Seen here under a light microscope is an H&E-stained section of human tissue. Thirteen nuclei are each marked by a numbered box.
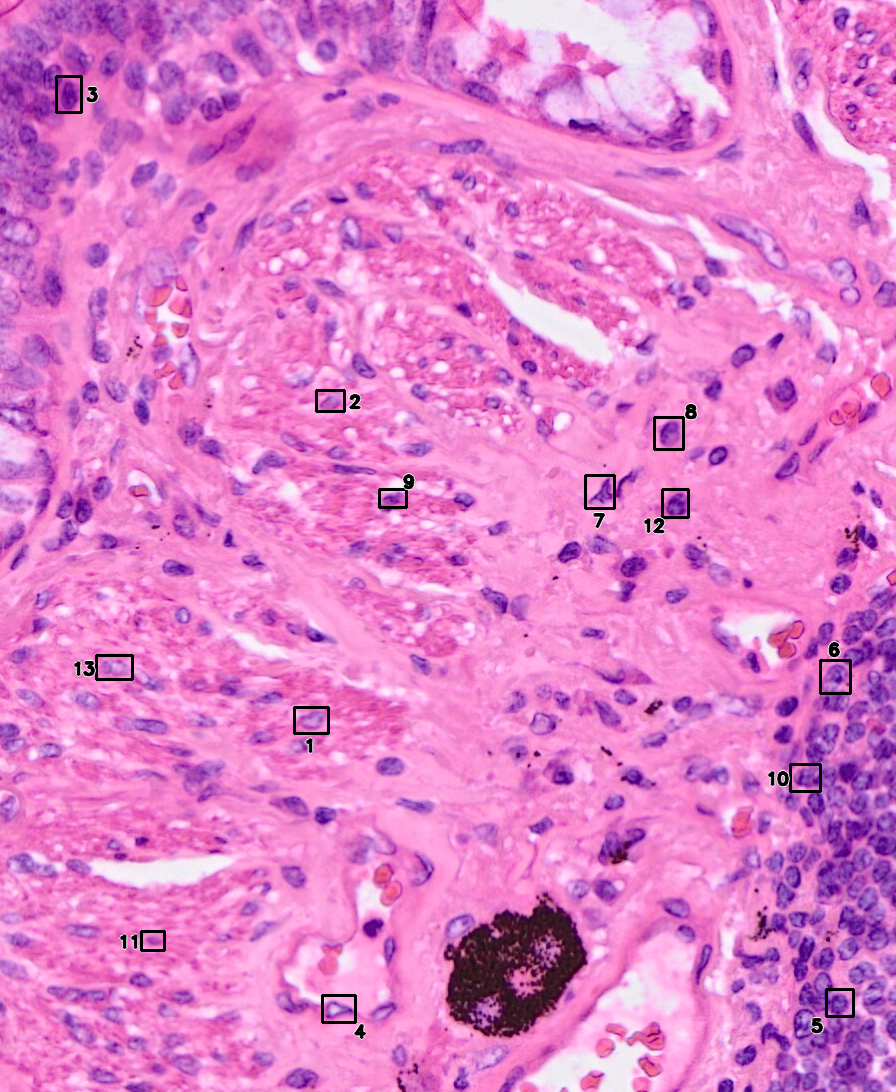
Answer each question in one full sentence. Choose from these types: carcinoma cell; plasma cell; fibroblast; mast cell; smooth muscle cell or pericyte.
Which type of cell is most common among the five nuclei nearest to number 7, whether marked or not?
Around number 7, most of the five nearest nuclei are those of plasma cells.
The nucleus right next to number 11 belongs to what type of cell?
The nucleus nearest to number 11 is that of a mast cell.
